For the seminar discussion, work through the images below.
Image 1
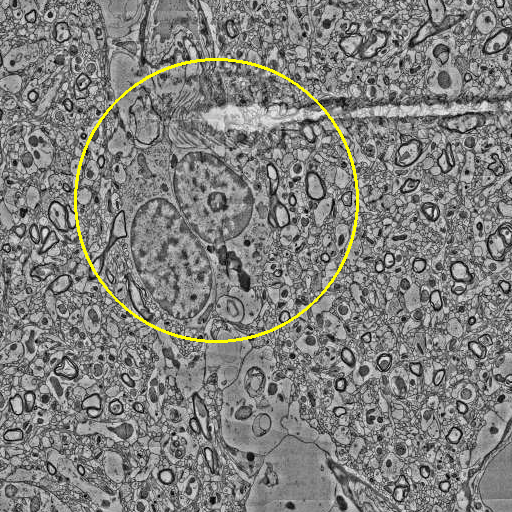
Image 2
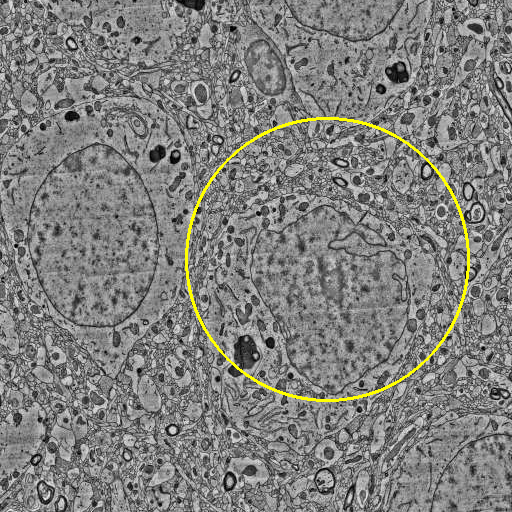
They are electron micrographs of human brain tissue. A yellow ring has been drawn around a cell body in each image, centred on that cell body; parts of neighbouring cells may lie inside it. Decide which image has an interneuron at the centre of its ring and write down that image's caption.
Image 2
